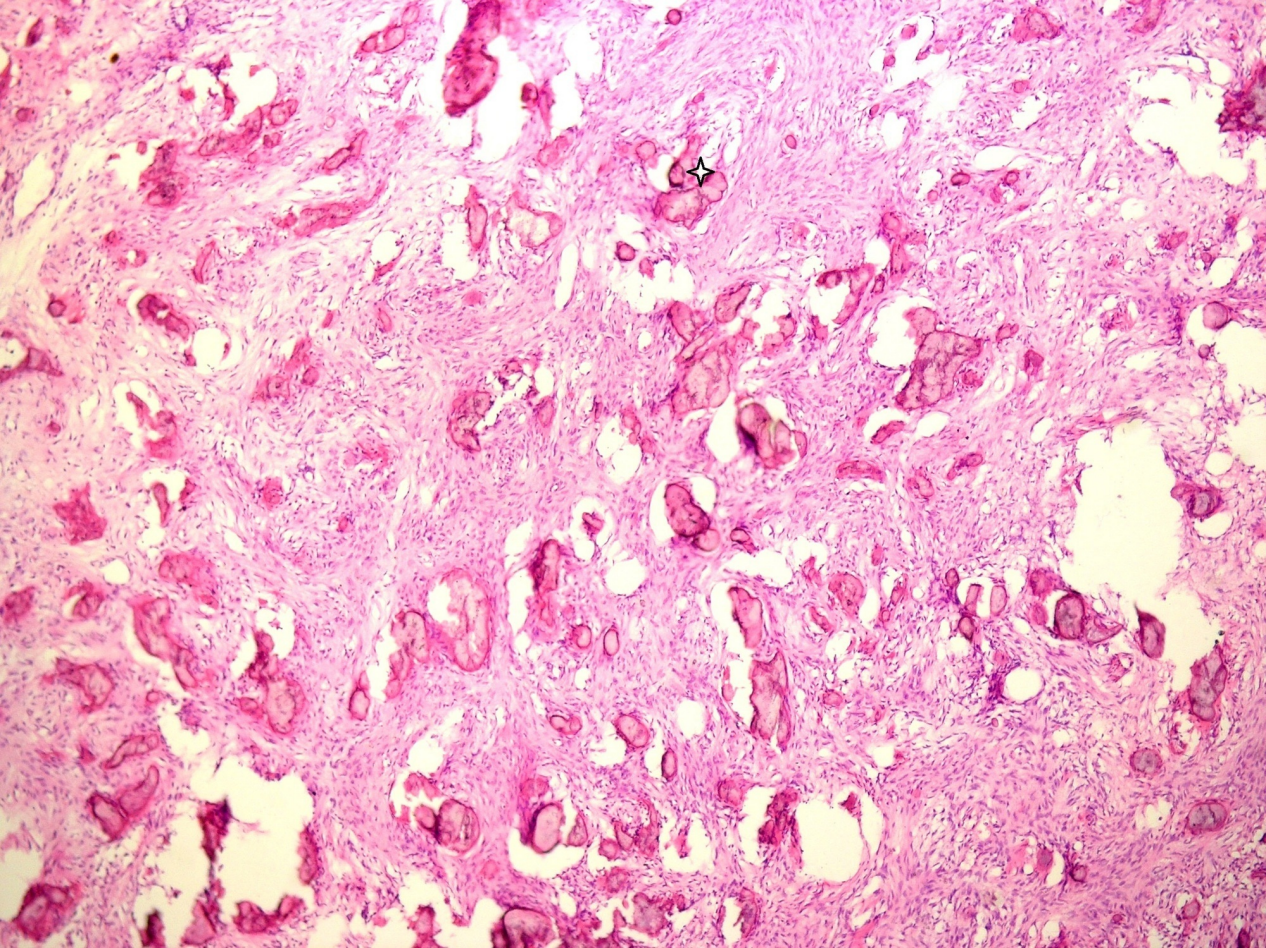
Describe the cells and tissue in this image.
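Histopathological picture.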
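This is a highly cellular fibrous lesion, made up of a stroma of spindle-shaped fibroblasts lying in swirling, whorled bundles. Scattered through this stroma are many irregular, rounded to elongated deposits of dense pink hard tissue. Some deposits have darker purple rims or darker purple areas, and some are rounded, cementum-like bodies. Many of these deposits lie within clear, empty-looking spaces in the stroma.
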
